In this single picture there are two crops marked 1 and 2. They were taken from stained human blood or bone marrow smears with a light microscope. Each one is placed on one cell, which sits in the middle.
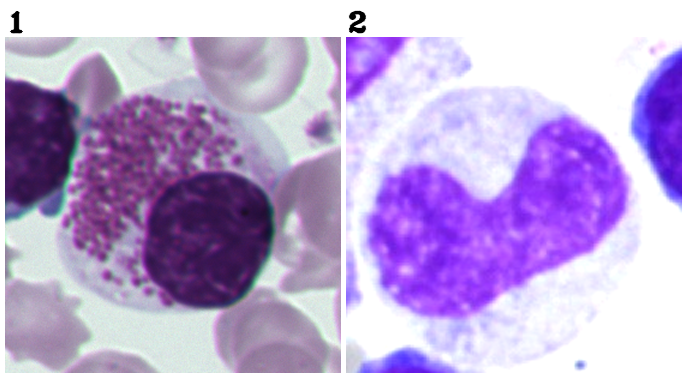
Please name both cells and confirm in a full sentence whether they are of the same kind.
No, at the centre of crop 1 is an eosinophil, and at the centre of crop 2 is a band neutrophil.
